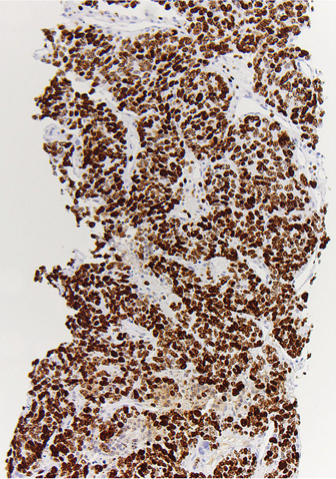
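Crowded sheets and nests of small cells are separated by thin strands of pale stroma, and nearly all of their nuclei carry a dark brown stain. The stained nuclei are round to oval and tightly packed, leaving little visible cytoplasm between them. The stromal cells between the nests stay pale blue.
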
